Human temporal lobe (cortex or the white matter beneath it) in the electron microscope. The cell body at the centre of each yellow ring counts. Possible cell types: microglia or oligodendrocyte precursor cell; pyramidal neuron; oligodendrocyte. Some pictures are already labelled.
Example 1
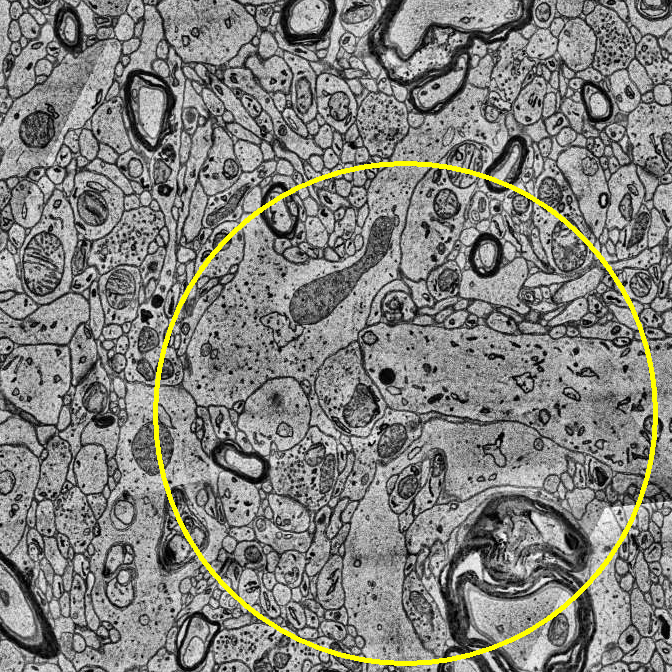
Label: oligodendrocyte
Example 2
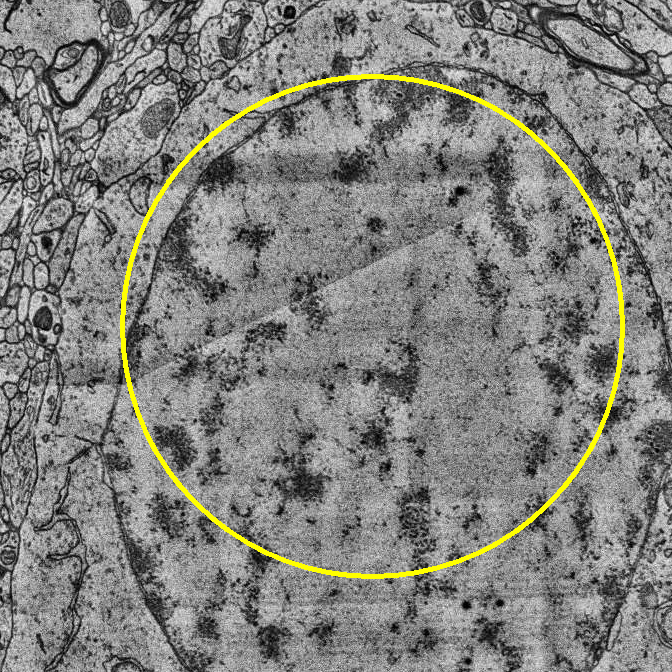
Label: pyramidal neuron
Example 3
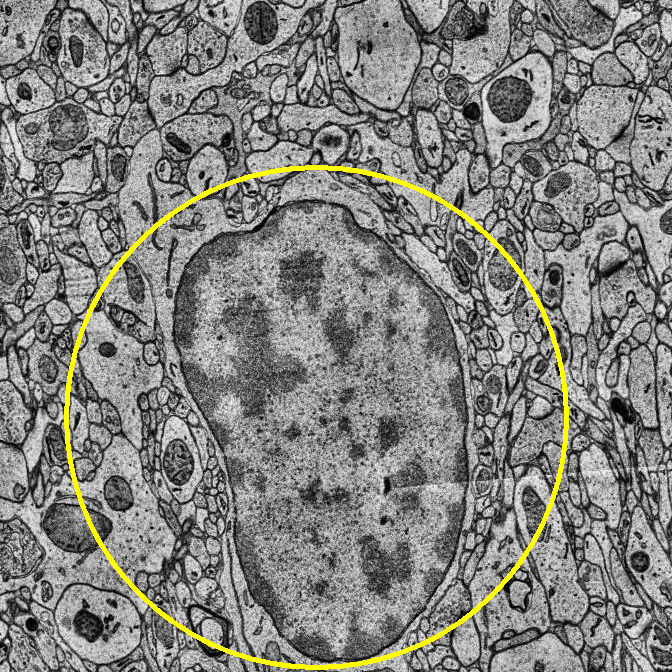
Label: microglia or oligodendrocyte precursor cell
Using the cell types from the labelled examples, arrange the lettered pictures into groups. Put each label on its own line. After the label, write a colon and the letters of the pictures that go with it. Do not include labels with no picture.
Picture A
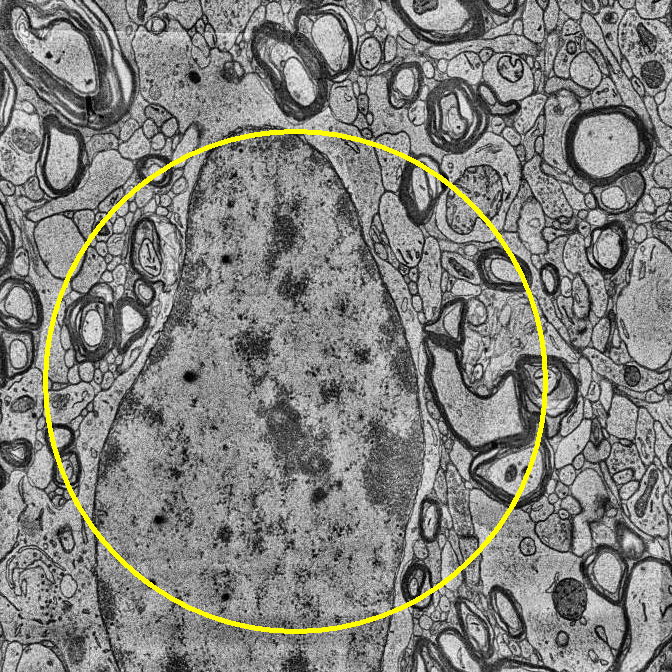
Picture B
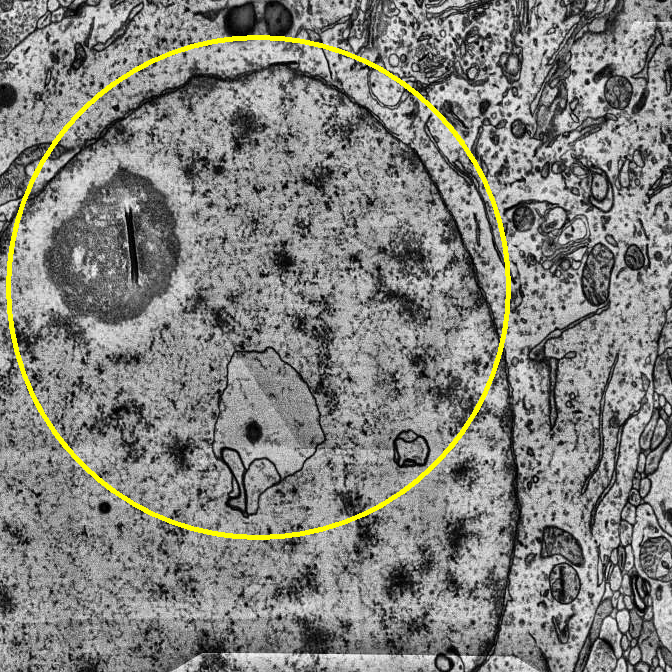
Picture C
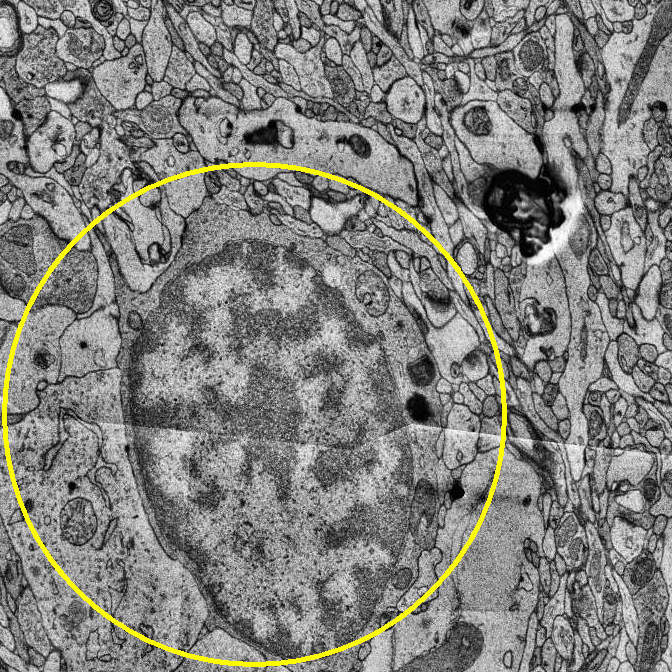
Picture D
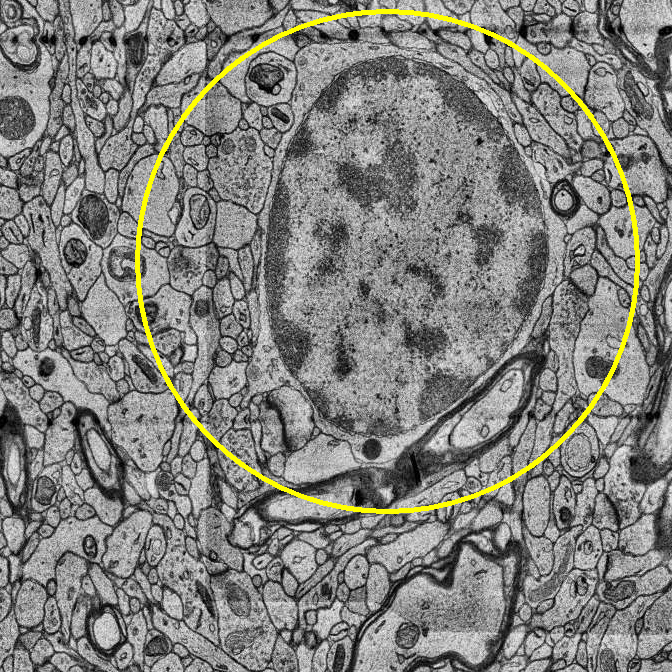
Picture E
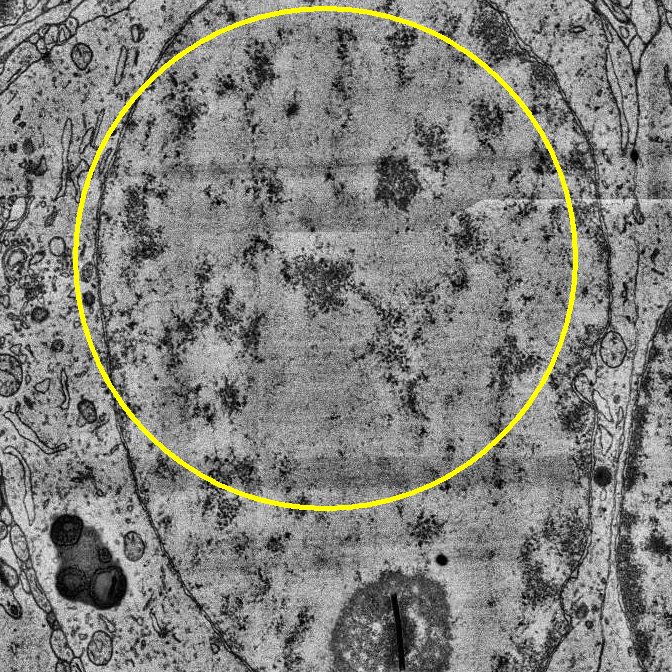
microglia or oligodendrocyte precursor cell: A, D
pyramidal neuron: B, E
oligodendrocyte: C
